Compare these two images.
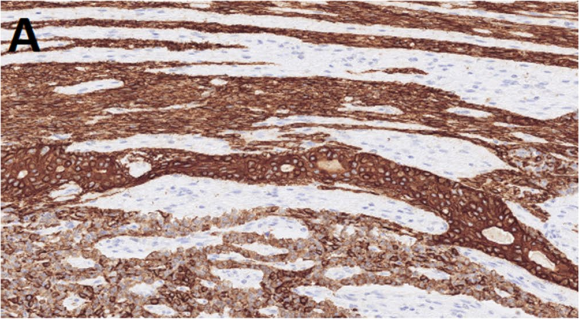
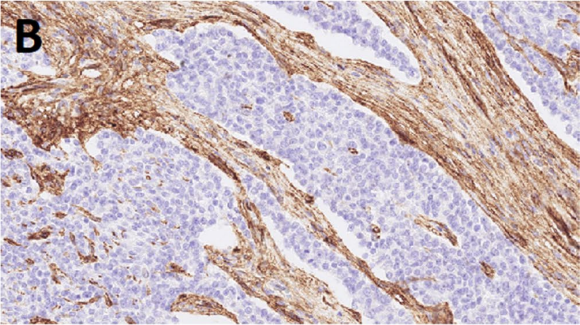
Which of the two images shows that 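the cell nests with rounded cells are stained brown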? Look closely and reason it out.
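The first image. Second image: the large nests of rounded cells are blue, only the bands between them are brown. First image: the sheets of polygonal cells with small lumens are dark brown.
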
